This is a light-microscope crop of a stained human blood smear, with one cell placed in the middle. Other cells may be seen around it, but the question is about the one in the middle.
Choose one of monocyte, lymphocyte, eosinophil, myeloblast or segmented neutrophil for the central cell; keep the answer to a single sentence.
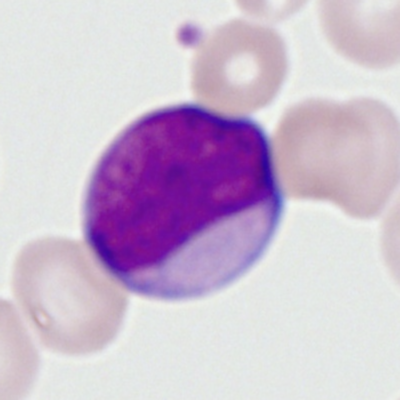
Seen at the centre of the crop is a myeloblast.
